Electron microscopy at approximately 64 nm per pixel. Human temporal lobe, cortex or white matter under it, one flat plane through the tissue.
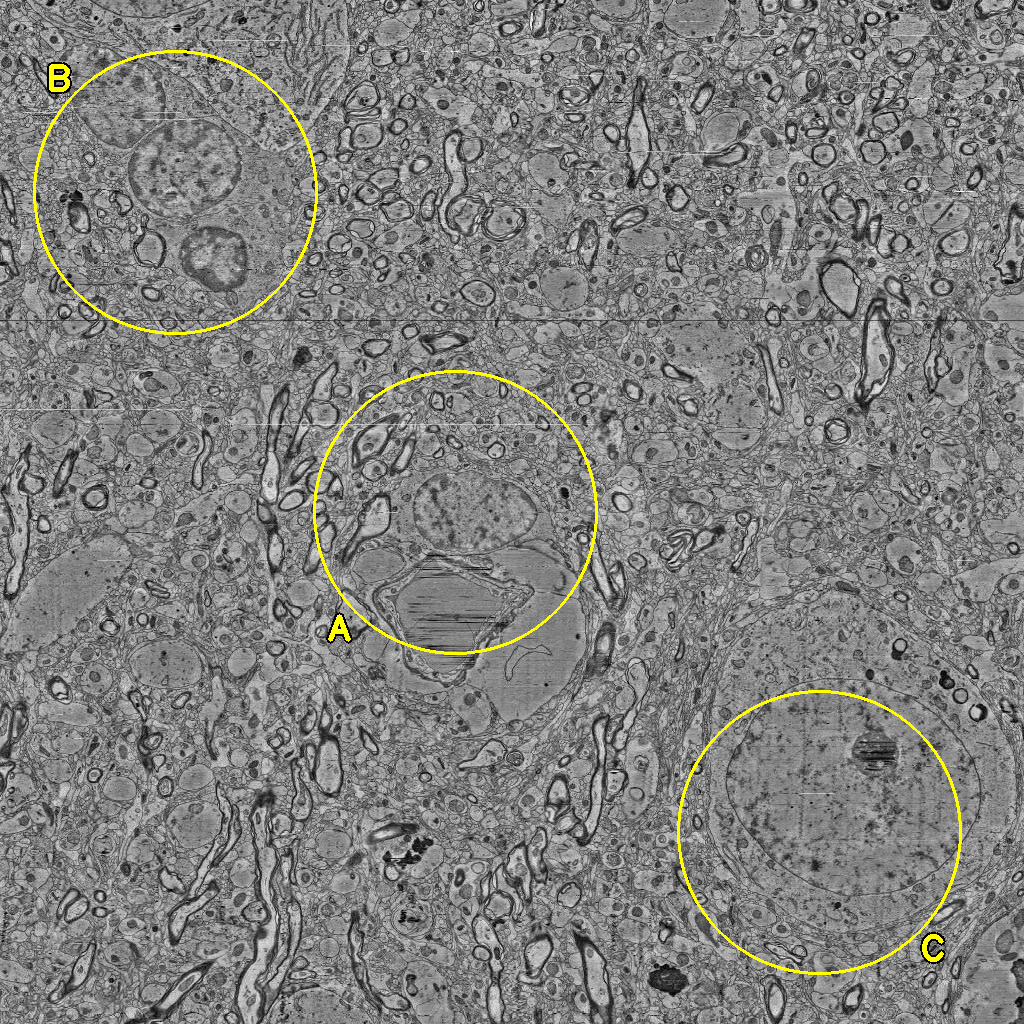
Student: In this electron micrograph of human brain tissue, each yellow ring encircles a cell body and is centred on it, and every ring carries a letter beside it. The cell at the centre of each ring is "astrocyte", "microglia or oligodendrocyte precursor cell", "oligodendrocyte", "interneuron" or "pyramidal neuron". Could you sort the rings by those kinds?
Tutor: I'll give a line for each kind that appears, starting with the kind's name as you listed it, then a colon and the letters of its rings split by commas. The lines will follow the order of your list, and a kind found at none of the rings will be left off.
oligodendrocyte: A, B
pyramidal neuron: C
